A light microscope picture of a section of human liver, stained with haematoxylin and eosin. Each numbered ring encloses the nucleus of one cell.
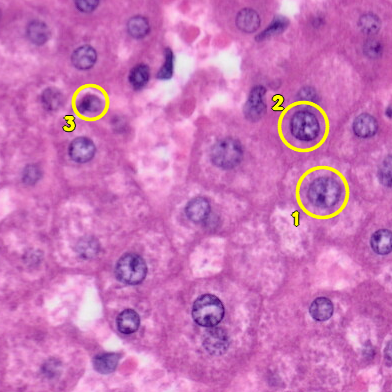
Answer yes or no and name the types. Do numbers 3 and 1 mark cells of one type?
No, cell 3 is a Kupffer cell and cell 1 is a hepatocyte.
